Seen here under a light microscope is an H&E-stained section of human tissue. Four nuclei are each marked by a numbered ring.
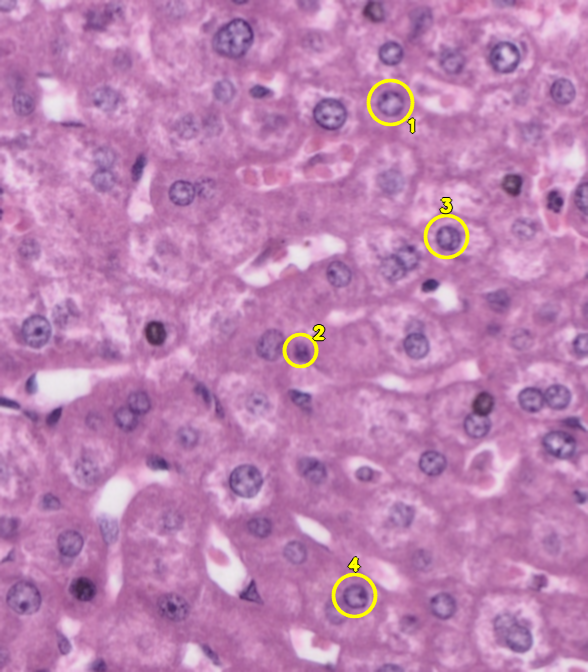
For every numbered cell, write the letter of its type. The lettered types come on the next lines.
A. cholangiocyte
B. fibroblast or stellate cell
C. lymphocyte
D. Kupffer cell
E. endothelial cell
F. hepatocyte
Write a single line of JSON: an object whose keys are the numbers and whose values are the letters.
{"1": "F", "2": "B", "3": "F", "4": "F"}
